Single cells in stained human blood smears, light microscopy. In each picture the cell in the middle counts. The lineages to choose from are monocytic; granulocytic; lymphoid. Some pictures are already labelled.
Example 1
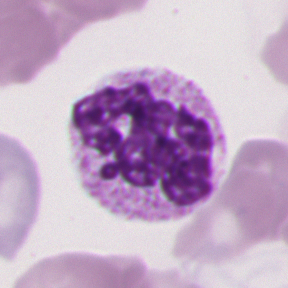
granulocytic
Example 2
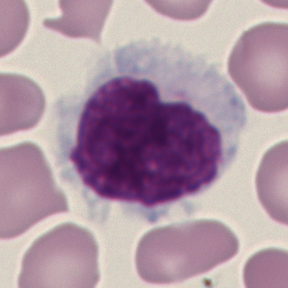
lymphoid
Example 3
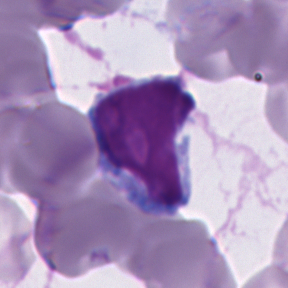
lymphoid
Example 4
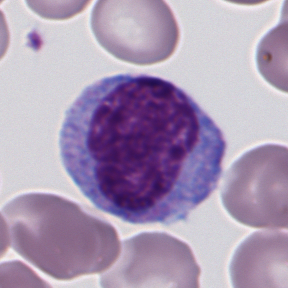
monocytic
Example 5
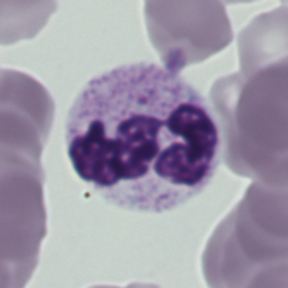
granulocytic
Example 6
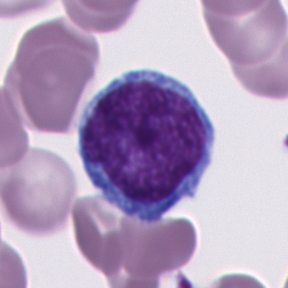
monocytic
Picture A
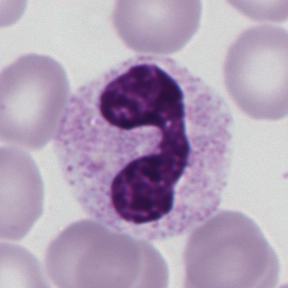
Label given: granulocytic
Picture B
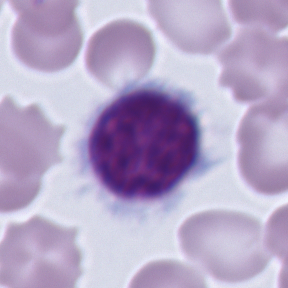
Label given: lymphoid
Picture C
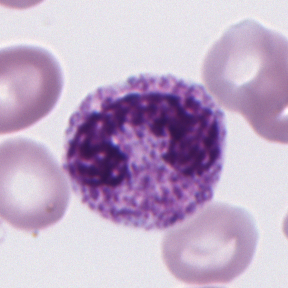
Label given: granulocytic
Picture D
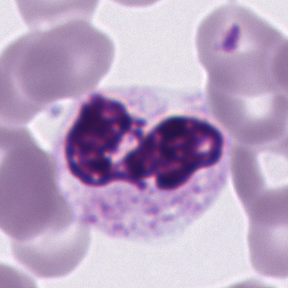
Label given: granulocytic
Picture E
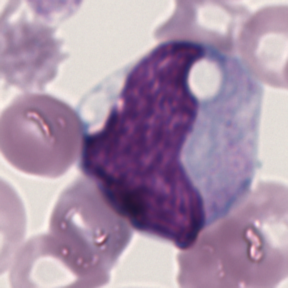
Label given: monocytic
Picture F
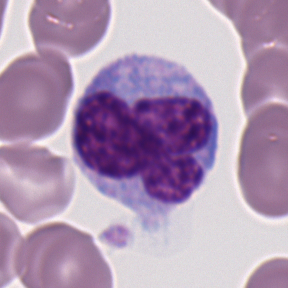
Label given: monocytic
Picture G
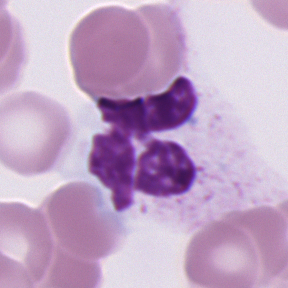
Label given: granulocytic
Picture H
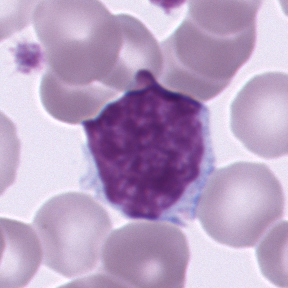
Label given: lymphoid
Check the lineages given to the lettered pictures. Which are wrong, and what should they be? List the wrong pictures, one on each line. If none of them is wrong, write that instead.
All correct.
